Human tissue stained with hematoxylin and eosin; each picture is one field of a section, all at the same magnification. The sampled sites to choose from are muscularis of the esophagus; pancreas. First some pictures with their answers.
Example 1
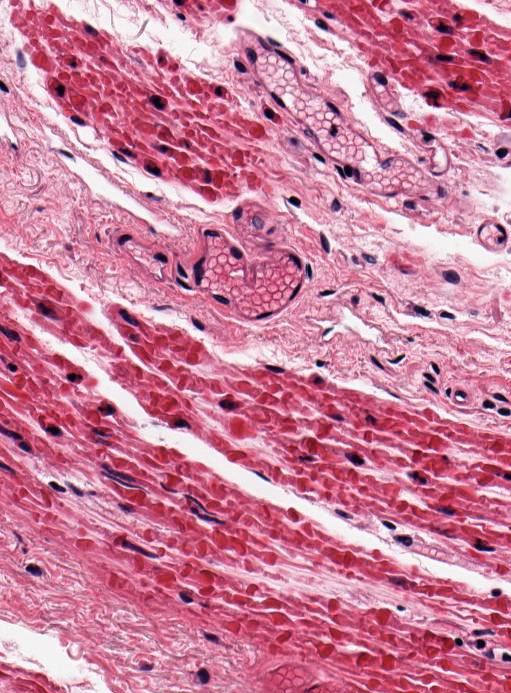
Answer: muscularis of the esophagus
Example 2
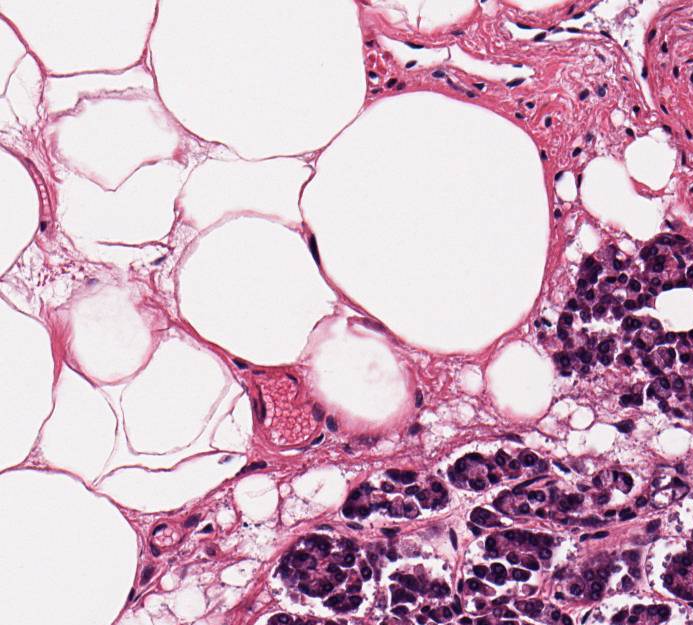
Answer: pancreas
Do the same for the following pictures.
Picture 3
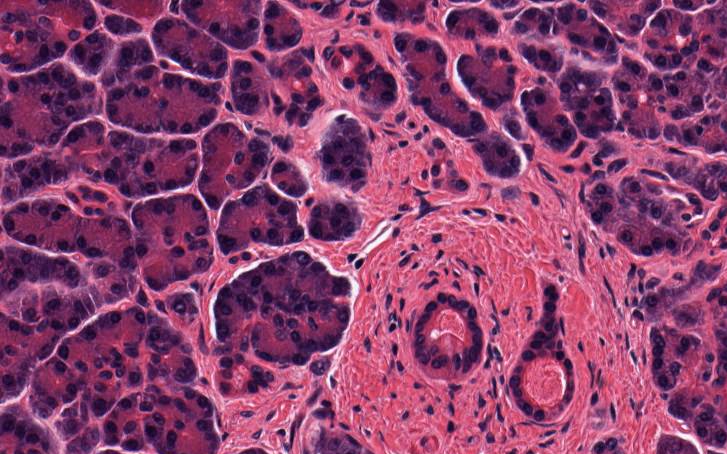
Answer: pancreas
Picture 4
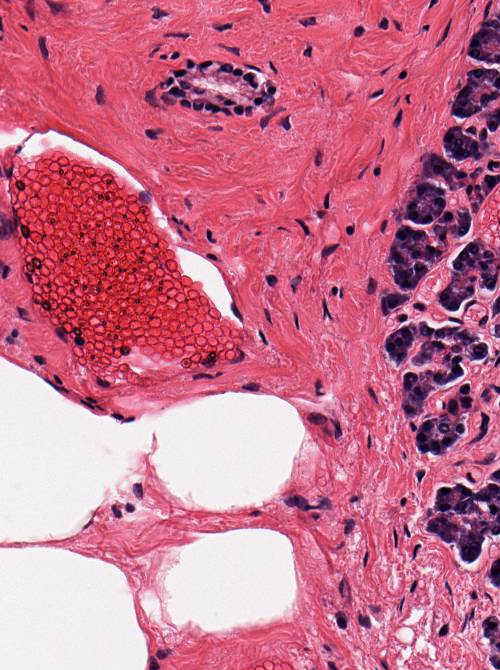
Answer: pancreas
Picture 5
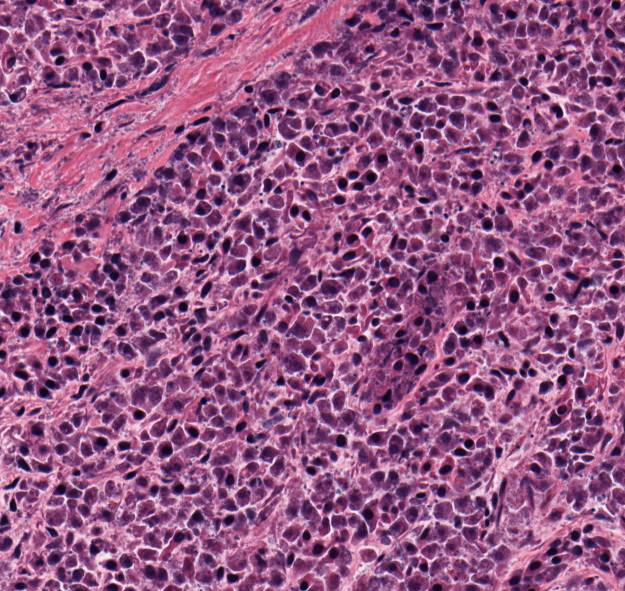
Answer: pancreas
